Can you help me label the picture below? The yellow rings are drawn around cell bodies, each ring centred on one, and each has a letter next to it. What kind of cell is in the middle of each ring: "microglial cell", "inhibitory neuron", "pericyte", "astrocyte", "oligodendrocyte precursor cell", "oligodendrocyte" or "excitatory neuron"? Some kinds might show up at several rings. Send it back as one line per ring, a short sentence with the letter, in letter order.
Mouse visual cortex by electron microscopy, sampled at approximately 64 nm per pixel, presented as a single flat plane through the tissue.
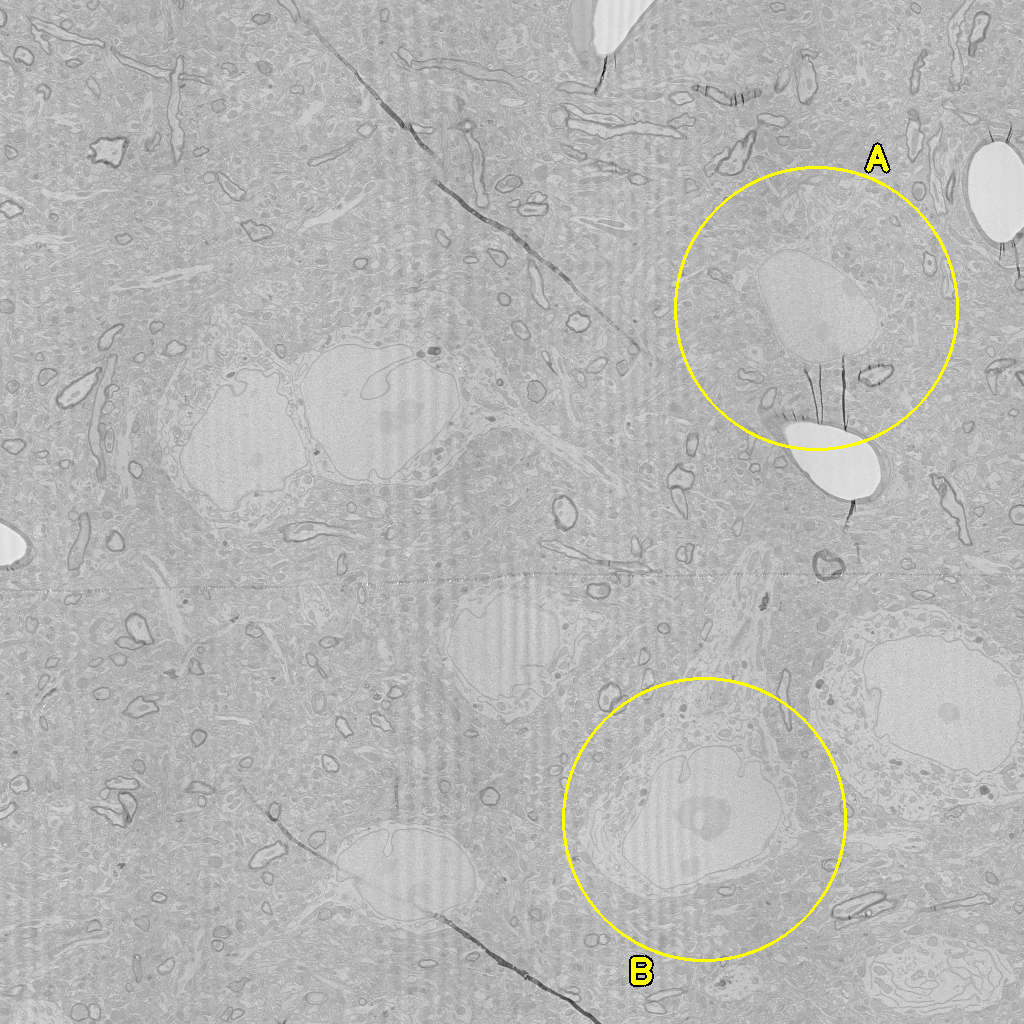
Ring A has an astrocyte in the middle.
Ring B has an excitatory neuron in the middle.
